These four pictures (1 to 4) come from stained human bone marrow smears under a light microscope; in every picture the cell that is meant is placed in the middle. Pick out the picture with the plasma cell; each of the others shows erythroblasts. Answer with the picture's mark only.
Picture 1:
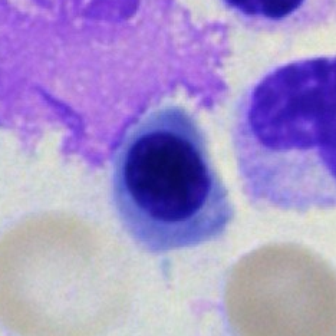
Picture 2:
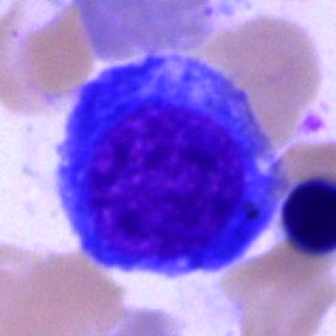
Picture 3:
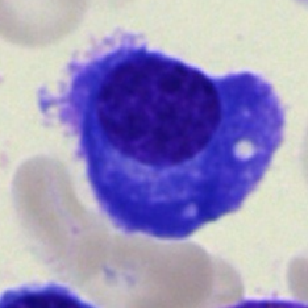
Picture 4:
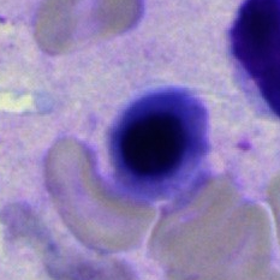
3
